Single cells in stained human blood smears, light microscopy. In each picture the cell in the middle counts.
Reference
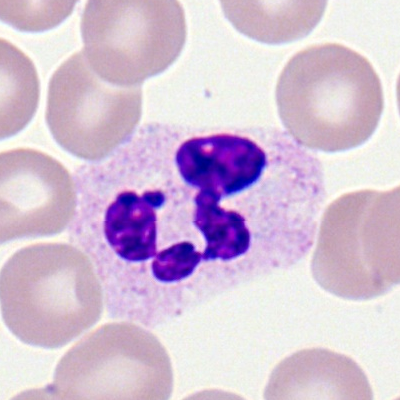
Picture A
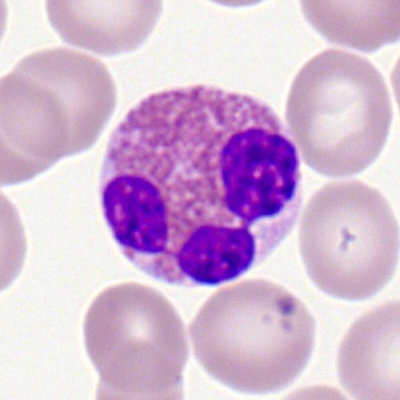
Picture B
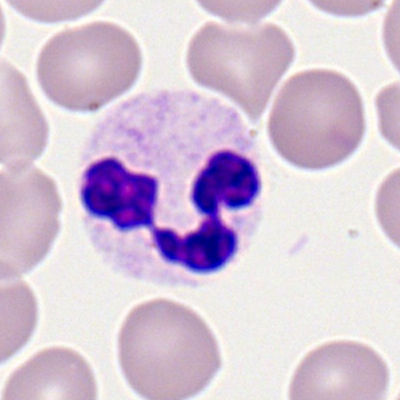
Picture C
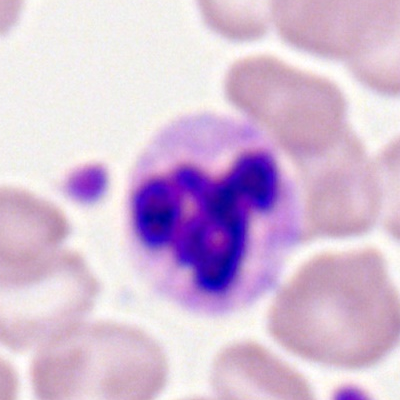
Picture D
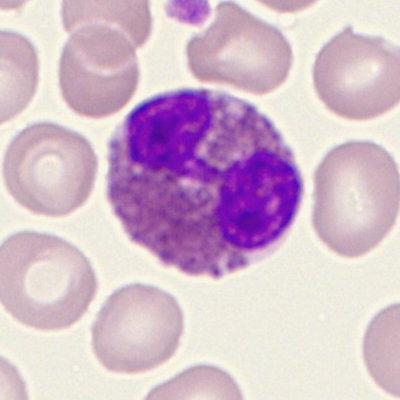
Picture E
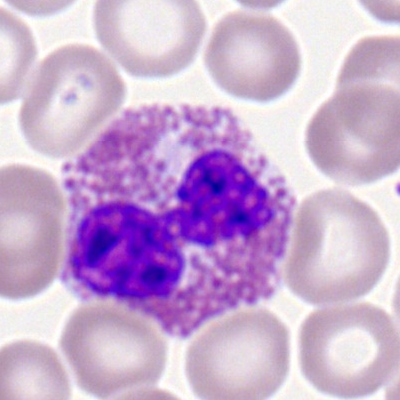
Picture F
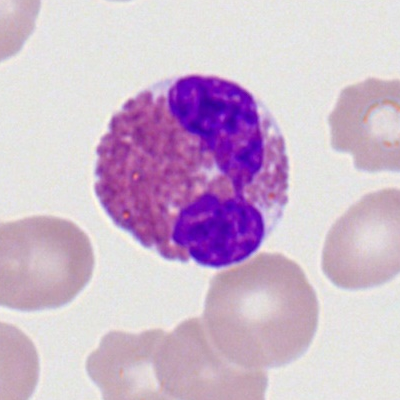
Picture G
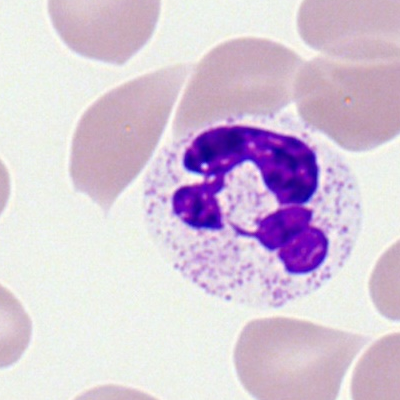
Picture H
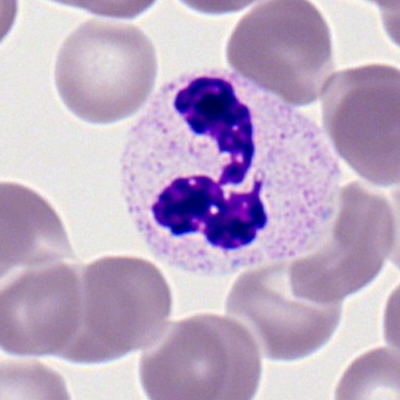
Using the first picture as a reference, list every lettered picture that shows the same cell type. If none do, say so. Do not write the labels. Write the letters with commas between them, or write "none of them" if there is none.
B, C, G, H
